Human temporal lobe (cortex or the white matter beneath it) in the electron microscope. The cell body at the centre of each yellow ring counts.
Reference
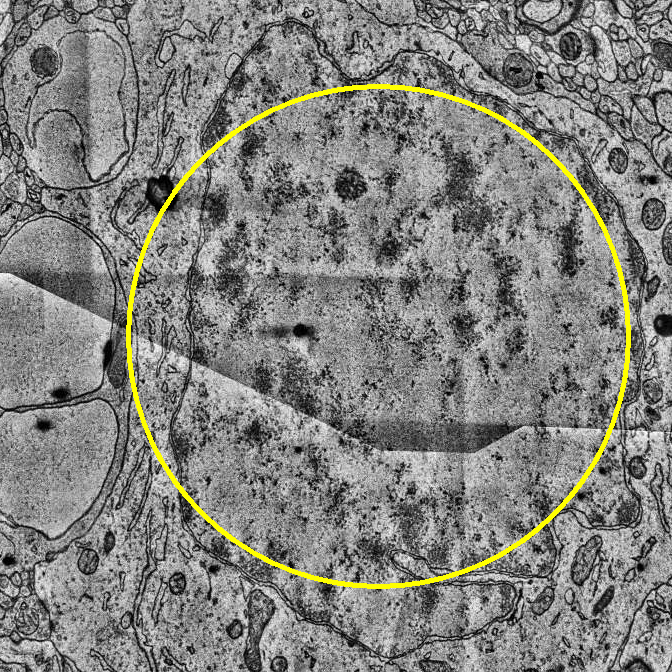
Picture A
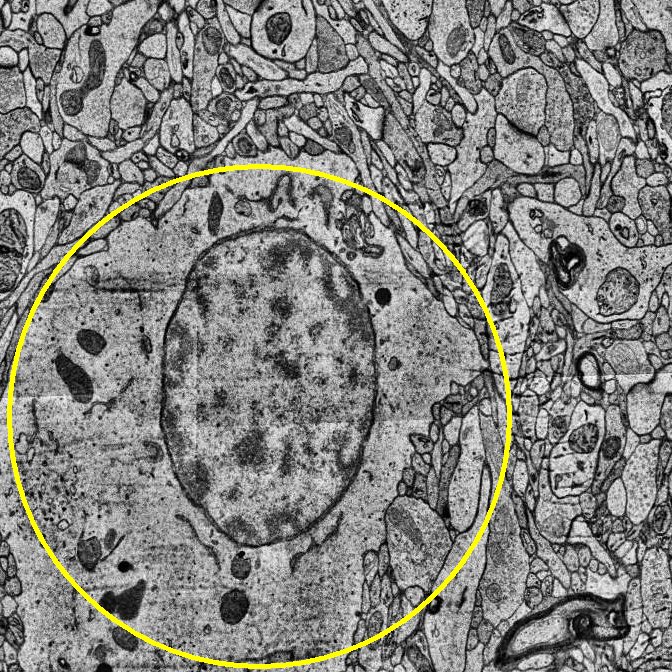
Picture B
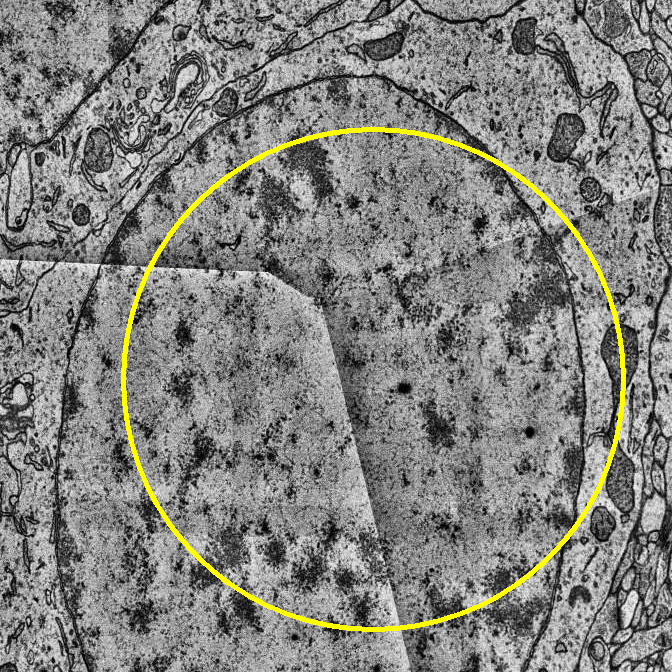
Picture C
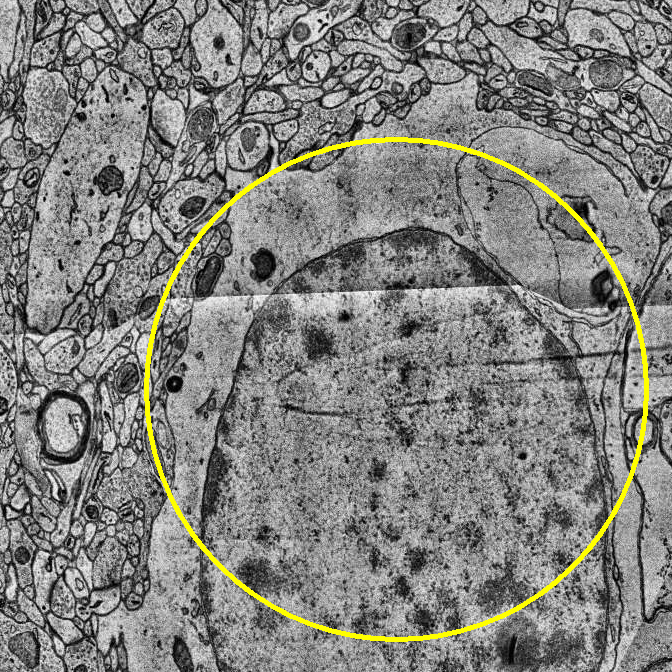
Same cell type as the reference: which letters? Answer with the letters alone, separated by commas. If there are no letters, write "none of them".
none of them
